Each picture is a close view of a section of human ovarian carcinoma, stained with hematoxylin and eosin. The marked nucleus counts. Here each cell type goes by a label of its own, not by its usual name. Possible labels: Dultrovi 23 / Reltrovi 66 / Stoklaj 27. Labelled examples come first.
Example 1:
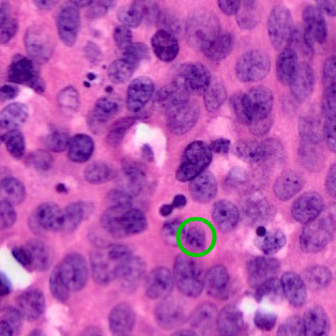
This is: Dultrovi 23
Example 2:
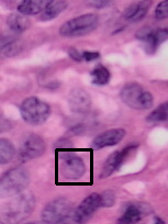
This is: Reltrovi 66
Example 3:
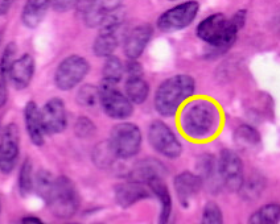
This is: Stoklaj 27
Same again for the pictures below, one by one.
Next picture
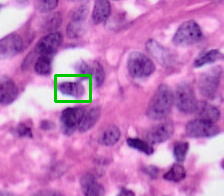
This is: Stoklaj 27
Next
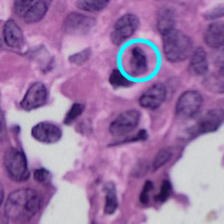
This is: Reltrovi 66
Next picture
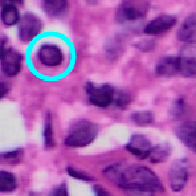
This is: Stoklaj 27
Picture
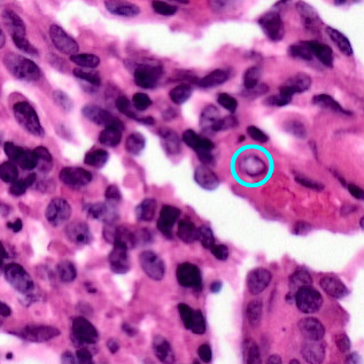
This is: Dultrovi 23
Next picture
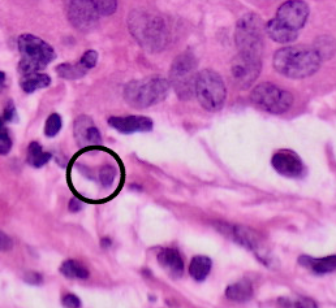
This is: Reltrovi 66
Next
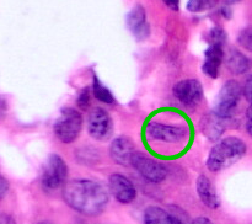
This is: Dultrovi 23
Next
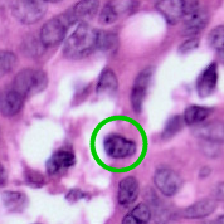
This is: Reltrovi 66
